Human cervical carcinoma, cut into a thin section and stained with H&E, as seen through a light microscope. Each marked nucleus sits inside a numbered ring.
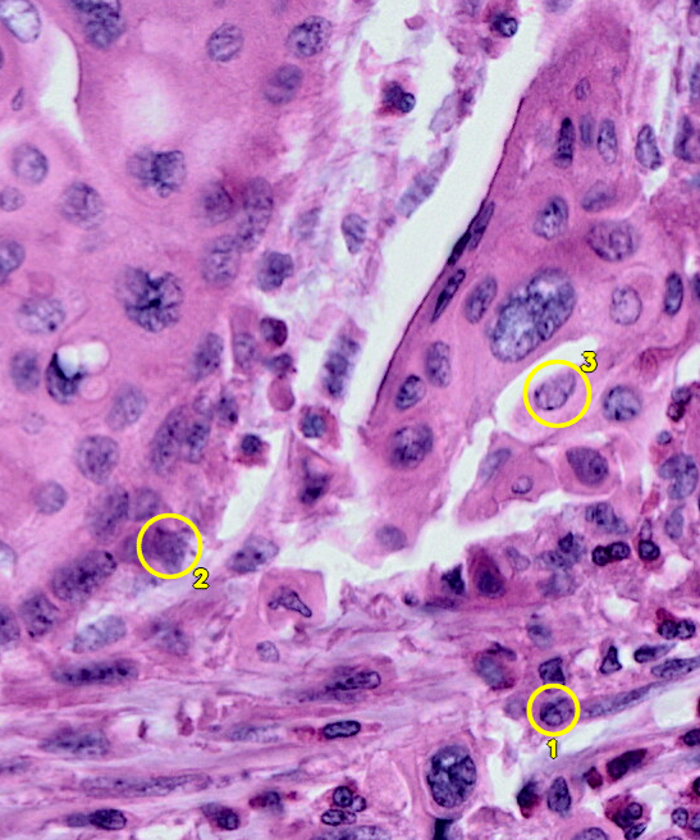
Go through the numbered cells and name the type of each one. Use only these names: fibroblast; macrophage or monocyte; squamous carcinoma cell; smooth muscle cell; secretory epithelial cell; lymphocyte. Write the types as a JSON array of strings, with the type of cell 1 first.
["macrophage or monocyte", "fibroblast", "squamous carcinoma cell"]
